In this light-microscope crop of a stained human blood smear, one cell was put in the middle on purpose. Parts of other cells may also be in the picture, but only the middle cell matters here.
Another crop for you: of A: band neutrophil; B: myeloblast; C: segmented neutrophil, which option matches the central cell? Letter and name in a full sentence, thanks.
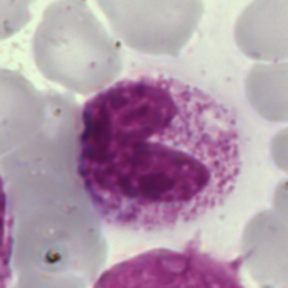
Here the right option is A, as the cell in the middle is a band neutrophil.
